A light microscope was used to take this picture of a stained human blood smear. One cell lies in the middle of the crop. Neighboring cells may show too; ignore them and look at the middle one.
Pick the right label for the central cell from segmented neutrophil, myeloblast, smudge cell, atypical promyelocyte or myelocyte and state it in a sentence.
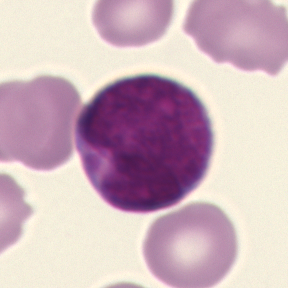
The middle of this crop holds a myeloblast.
